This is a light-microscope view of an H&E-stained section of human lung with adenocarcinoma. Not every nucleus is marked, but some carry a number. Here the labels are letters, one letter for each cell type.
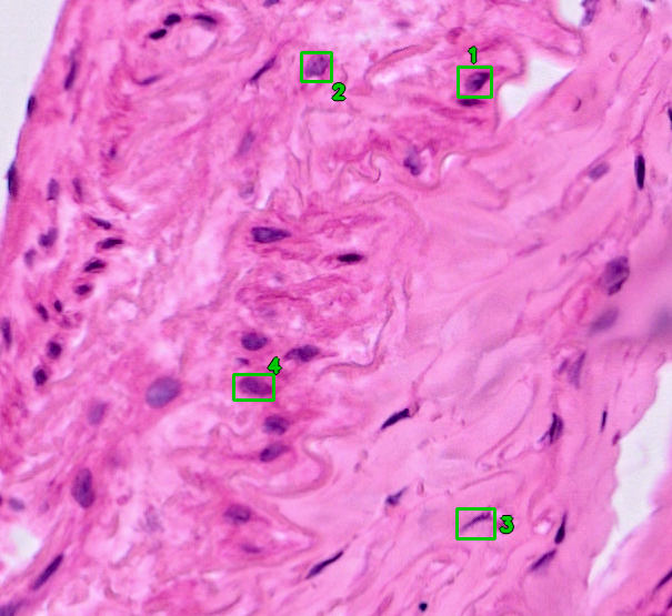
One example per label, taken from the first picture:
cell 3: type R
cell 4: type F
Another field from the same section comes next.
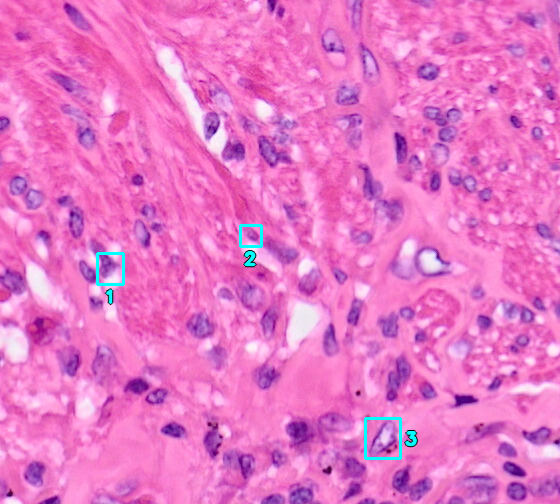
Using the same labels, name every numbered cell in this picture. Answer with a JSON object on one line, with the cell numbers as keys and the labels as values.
{"1": "type F", "2": "type F", "3": "type R"}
